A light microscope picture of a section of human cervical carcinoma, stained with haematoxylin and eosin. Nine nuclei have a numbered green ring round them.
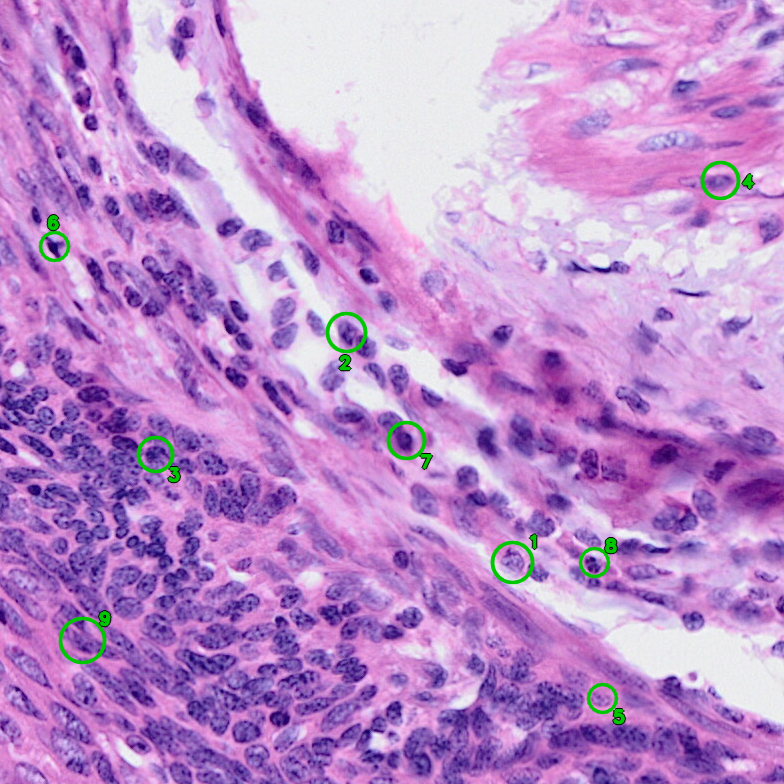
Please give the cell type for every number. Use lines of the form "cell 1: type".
cell 1: macrophage or monocyte
cell 2: lymphocyte
cell 3: squamous carcinoma cell
cell 4: smooth muscle cell
cell 5: squamous carcinoma cell
cell 6: lymphocyte
cell 7: lymphocyte
cell 8: lymphocyte
cell 9: squamous carcinoma cell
